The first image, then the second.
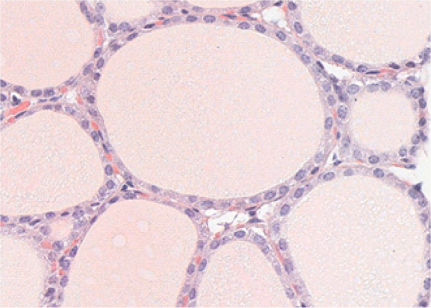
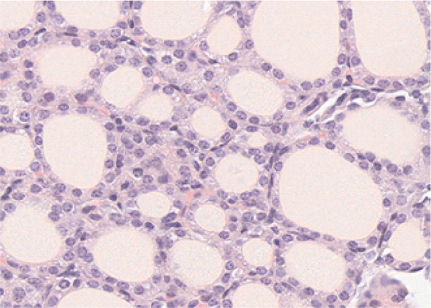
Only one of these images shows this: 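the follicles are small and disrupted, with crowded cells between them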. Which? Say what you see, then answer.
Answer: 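First image: large intact follicles with thin, orderly epithelial linings and little tissue between them. Second image: many small, irregular follicles with dense clusters of nuclei in the spaces between them. That points to this answer: the second image.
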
